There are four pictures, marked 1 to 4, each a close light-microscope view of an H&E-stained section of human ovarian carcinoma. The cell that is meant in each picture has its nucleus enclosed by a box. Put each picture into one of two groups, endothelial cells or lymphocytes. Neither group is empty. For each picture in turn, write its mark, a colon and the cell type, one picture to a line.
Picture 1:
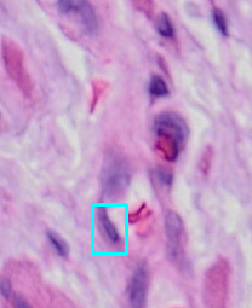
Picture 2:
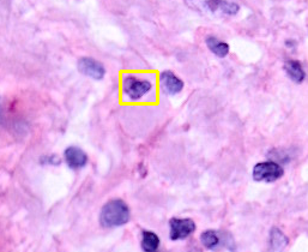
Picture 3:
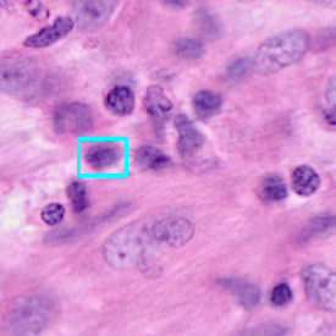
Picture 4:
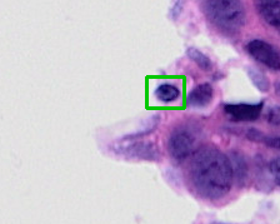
1: endothelial cell
2: lymphocyte
3: lymphocyte
4: lymphocyte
